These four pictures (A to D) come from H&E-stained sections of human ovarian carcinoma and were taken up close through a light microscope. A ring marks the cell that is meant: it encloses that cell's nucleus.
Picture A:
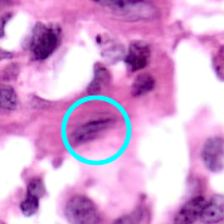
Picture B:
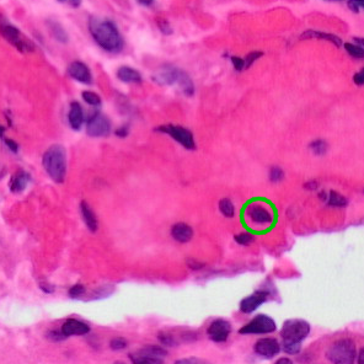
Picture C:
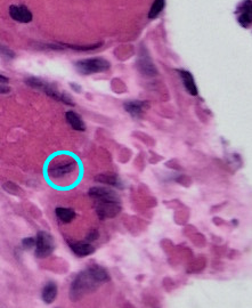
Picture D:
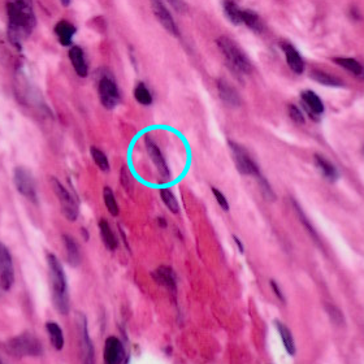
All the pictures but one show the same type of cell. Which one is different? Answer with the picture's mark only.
D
